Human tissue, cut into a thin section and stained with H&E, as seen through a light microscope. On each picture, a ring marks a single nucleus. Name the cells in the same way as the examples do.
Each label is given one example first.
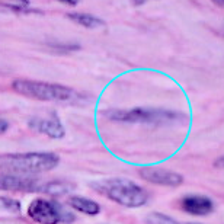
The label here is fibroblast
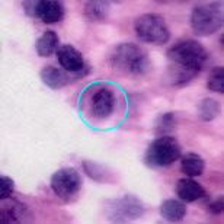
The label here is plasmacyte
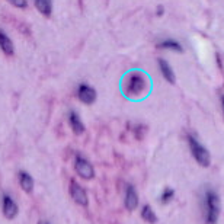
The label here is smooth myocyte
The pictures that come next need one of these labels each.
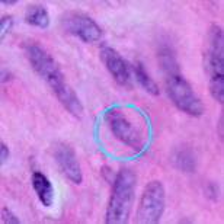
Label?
smooth myocyte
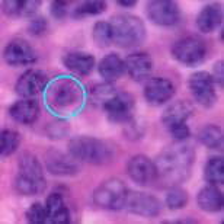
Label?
plasmacyte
